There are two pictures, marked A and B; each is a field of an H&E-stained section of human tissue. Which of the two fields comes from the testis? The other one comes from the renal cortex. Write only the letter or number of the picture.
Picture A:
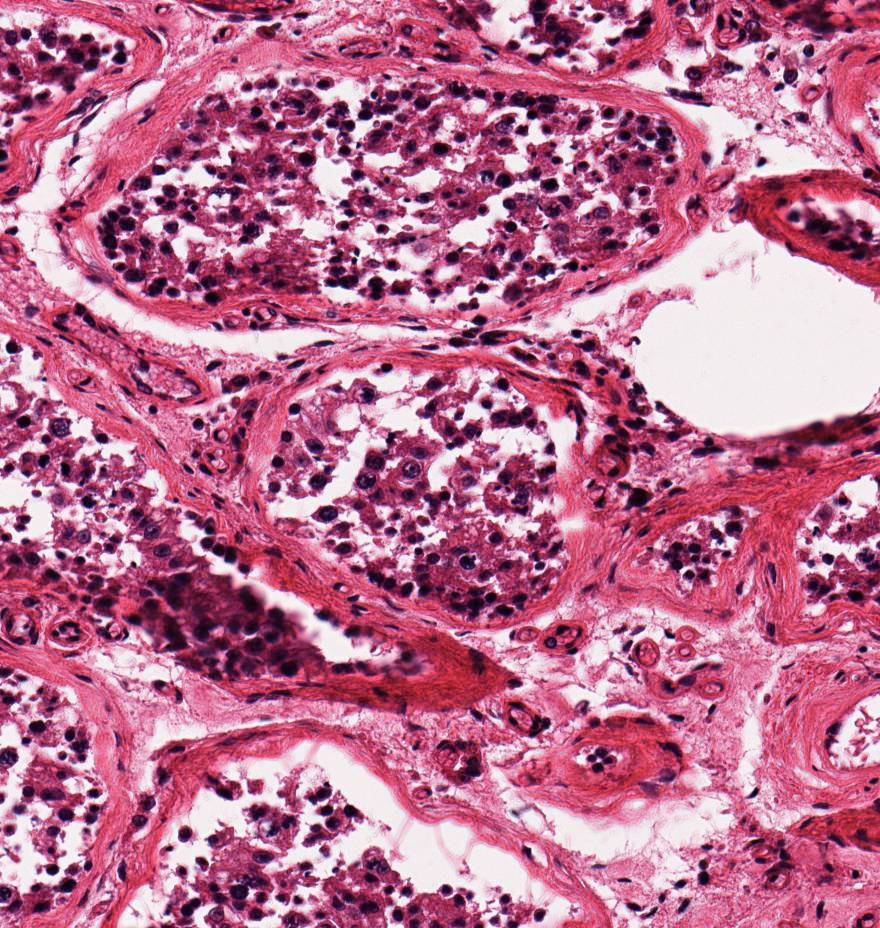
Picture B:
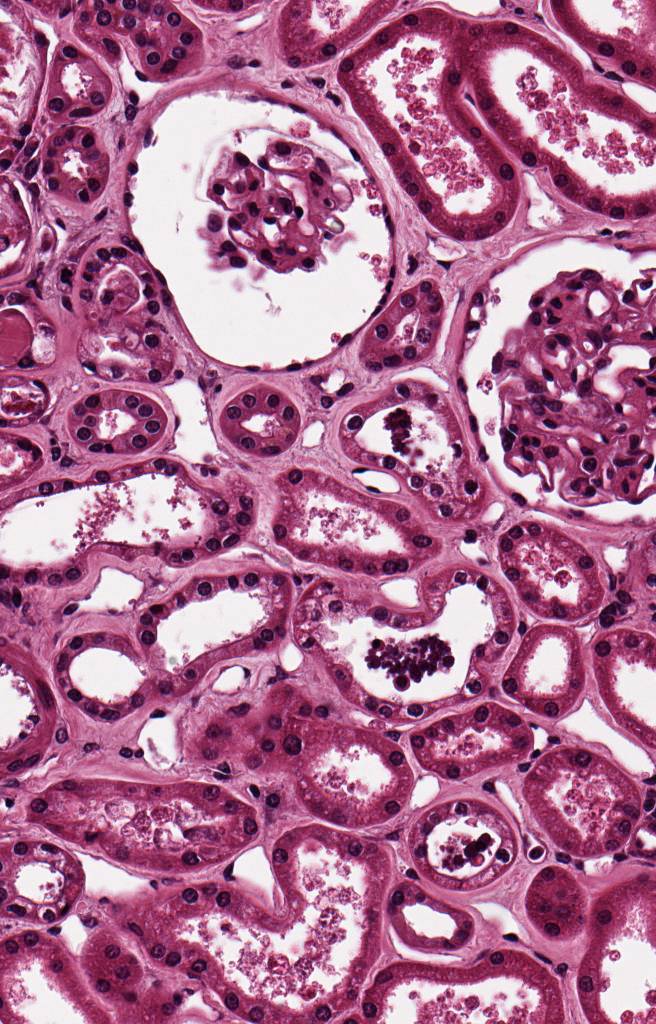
A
